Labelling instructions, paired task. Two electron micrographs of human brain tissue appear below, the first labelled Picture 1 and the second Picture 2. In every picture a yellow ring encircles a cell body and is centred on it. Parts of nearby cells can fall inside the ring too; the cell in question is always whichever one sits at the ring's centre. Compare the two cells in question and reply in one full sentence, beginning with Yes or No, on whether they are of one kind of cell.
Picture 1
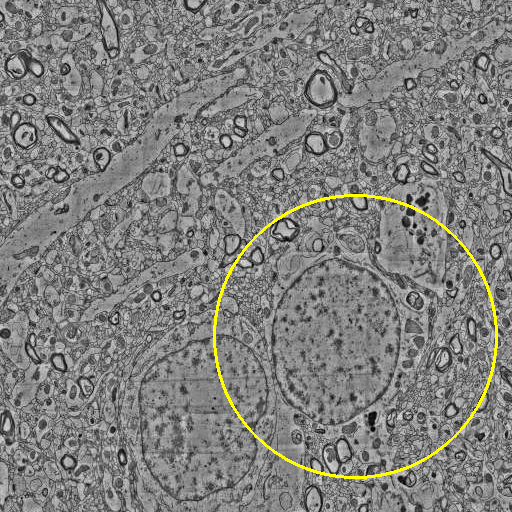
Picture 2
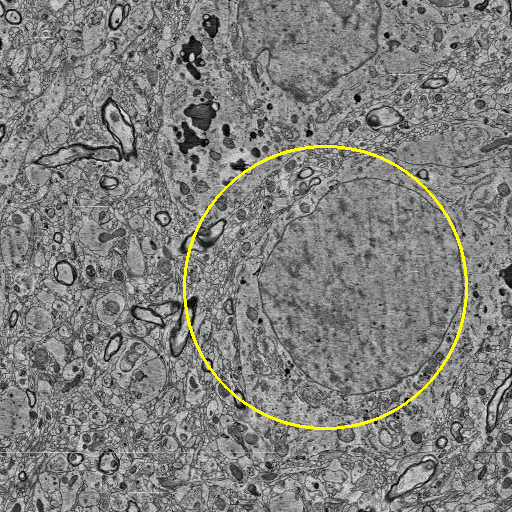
No, the two cells at the ring centres in Picture 1 and Picture 2 are of two kinds.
